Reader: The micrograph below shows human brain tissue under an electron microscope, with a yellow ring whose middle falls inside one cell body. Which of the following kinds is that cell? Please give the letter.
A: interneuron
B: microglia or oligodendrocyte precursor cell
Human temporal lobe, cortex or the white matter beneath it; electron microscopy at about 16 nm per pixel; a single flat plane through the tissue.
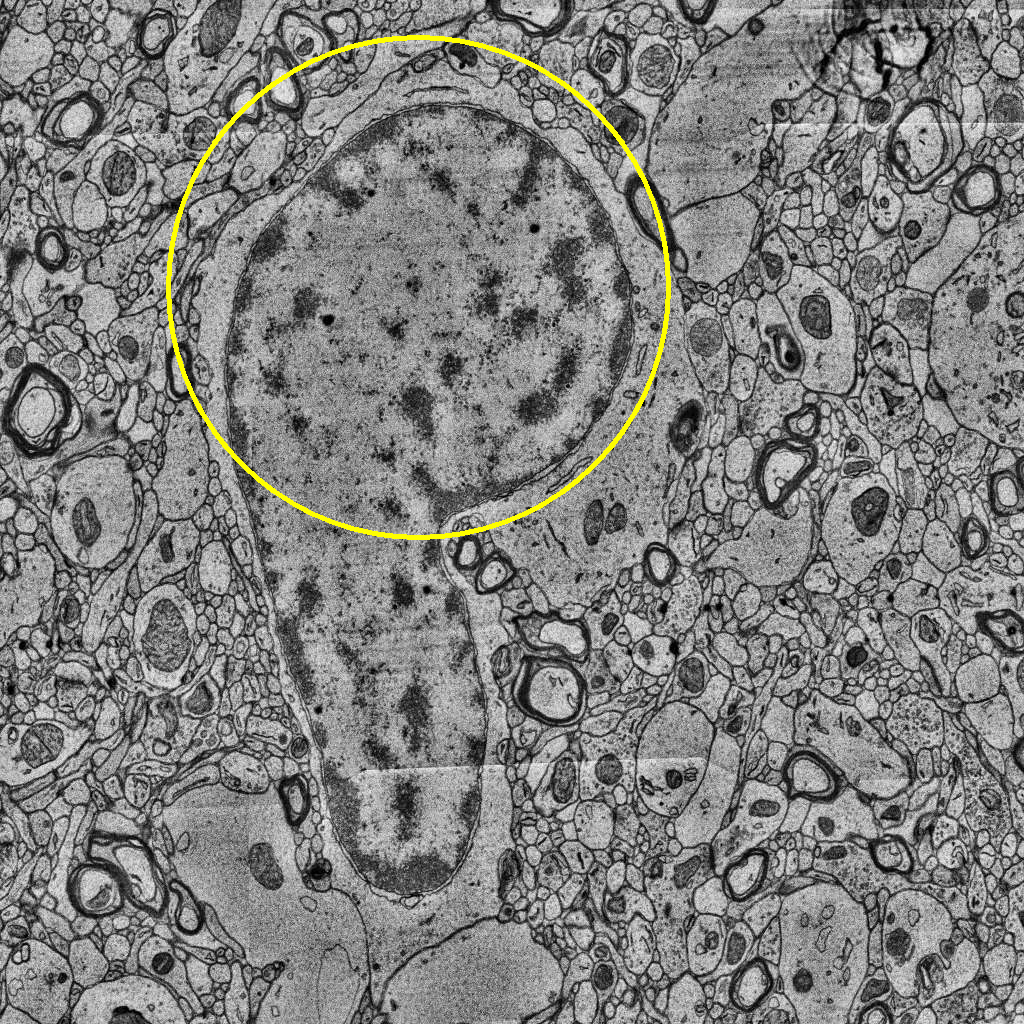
B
